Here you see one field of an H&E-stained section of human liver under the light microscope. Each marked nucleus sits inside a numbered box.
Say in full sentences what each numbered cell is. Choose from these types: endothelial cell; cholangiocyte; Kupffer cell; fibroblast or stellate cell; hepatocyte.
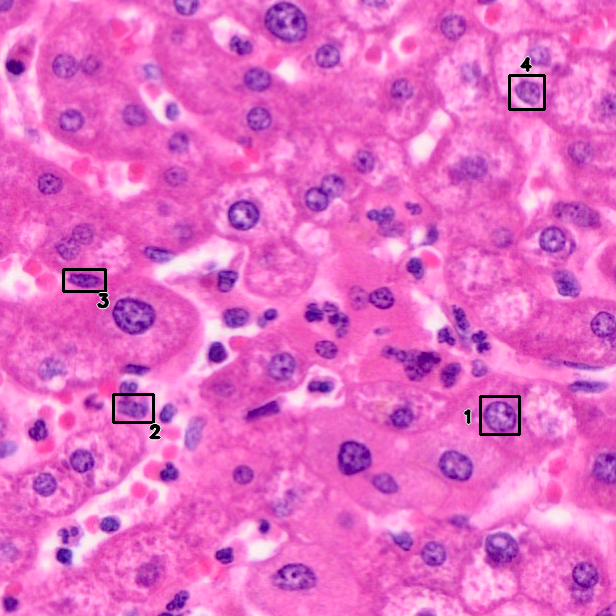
Cell 1 is a hepatocyte, cell 2 is a Kupffer cell, cell 3 is a fibroblast or stellate cell and cell 4 is a hepatocyte.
